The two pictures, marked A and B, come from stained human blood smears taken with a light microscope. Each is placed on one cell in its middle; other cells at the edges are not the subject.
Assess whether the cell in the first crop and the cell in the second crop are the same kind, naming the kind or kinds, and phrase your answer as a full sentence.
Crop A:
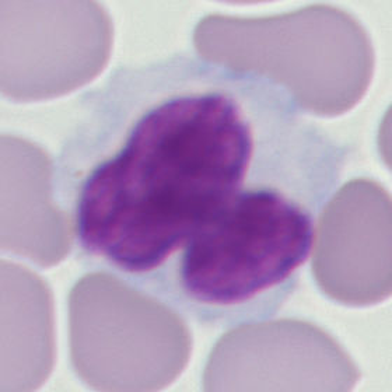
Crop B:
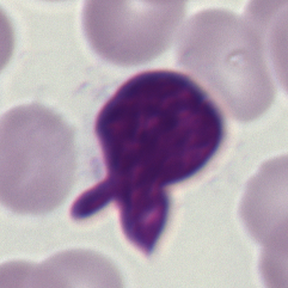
No, crop A depicts a hairy cell, and crop B depicts a smudge cell.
